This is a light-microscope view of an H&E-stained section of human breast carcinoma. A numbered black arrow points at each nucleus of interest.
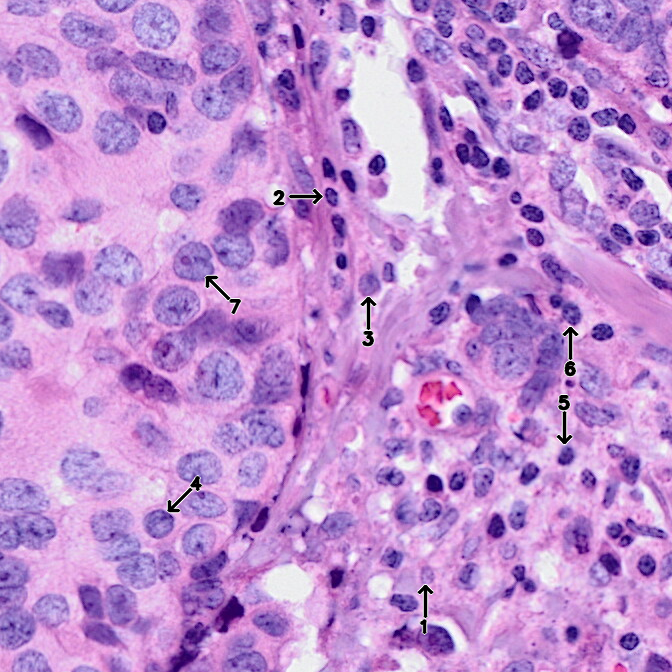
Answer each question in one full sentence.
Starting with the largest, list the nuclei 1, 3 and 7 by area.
From largest to smallest, the order is 7, 3, 1.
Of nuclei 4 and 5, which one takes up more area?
The larger nucleus is 4, at roughly 2 times the area of 5.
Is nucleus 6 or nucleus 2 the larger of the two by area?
It is nucleus 6, which covers about 2 times the area of nucleus 2.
